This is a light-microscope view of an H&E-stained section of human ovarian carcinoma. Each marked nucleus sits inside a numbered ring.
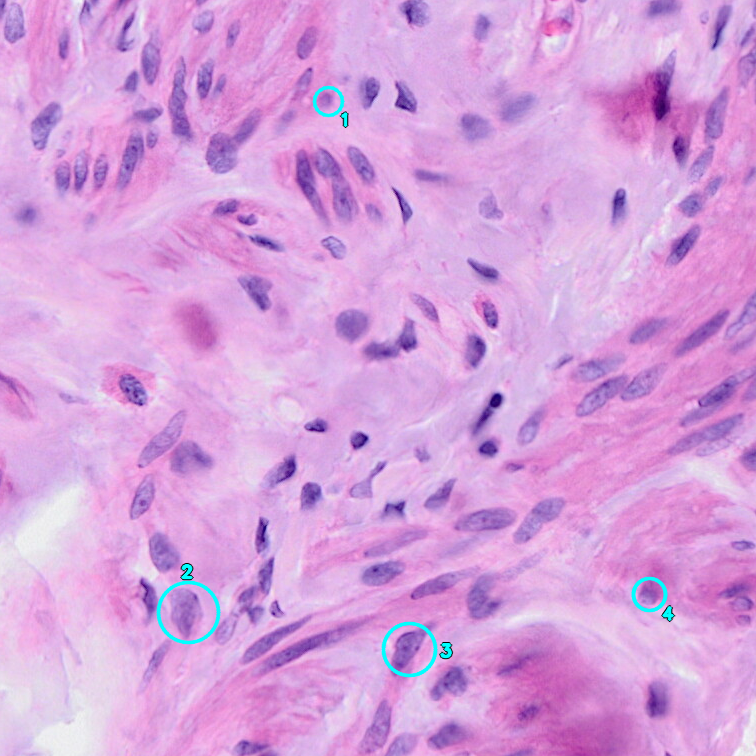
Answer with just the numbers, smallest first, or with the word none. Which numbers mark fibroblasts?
2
